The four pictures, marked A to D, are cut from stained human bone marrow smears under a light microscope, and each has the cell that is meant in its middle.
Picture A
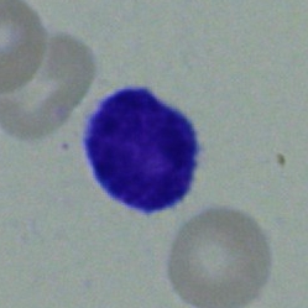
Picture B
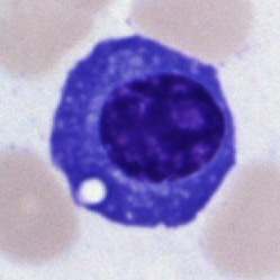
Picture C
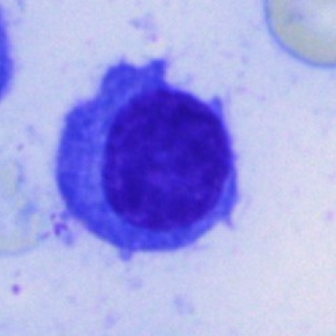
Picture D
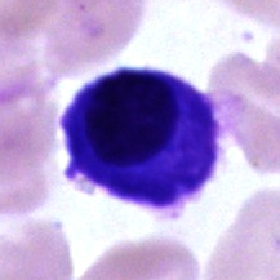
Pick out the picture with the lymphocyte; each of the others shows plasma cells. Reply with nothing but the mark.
A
